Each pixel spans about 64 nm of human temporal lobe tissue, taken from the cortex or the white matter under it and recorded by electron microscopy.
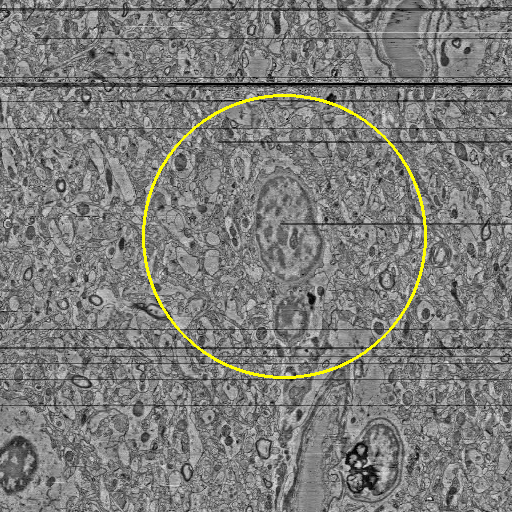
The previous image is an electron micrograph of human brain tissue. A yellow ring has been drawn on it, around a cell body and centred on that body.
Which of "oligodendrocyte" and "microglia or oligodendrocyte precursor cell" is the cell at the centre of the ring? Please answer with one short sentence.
The cell body at the centre of the ring belongs to an oligodendrocyte.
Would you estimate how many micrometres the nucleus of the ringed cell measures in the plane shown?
Approximately 7 micrometres long and 4 micrometres wide, in this plane.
